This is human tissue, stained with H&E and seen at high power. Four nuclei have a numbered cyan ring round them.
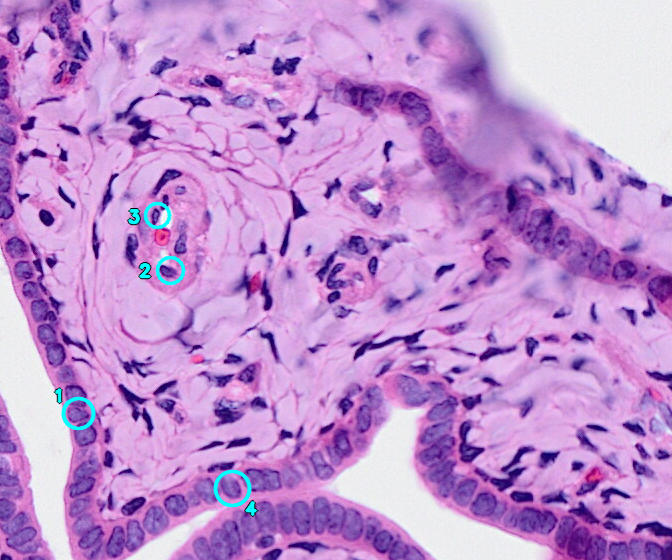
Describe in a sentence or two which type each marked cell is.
Cells 1 and 4 are carcinoma cells. Cells 2 and 3 are endothelial cells.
